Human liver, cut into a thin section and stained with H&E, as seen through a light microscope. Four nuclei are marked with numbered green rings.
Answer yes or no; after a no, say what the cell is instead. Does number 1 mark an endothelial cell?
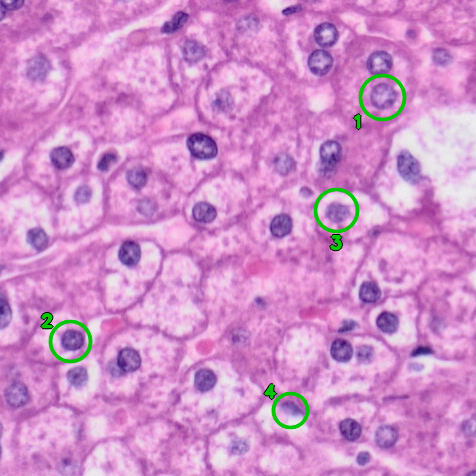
No, it is a hepatocyte.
